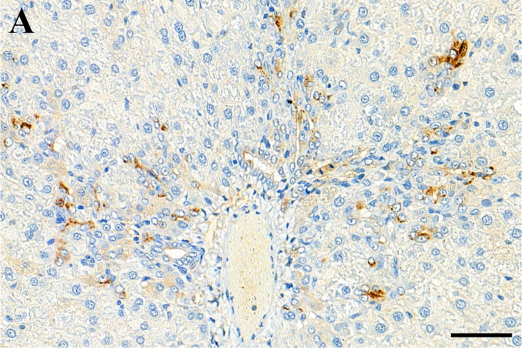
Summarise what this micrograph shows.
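This liver section shows hepatocyte plates around a portal area, with small ductular cell groups picked out in brown. The hepatocytes are large polygonal cells with round blue nuclei and pale cytoplasm, arranged in cords. Near the centre lies an elongated vessel with pale contents, surrounded by denser connective tissue containing smaller elongated nuclei. From this region, narrow strands of small cells with brown-stained cytoplasm extend outward between the hepatocyte cords into the parenchyma. Some brown foci are small round clusters scattered among the hepatocytes, and a few enclose tiny lumens.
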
